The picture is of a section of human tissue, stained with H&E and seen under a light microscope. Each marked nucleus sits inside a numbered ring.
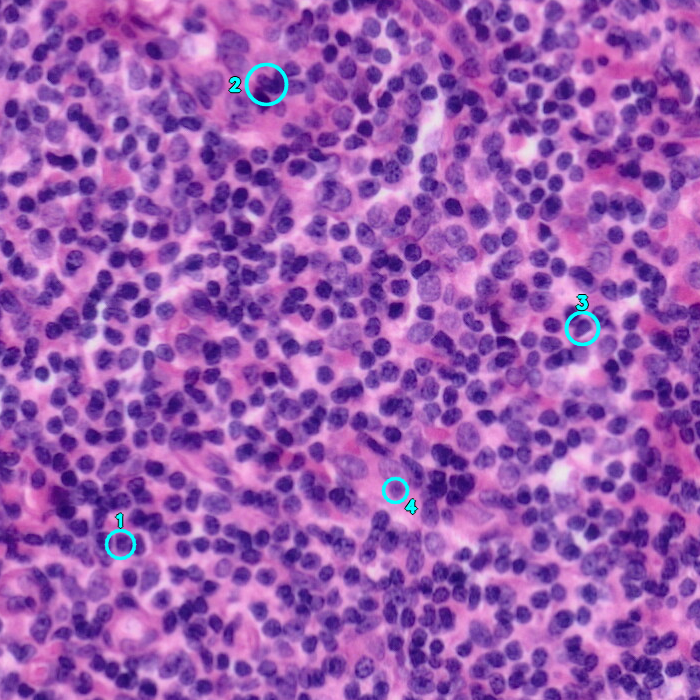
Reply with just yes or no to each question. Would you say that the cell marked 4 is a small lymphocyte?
no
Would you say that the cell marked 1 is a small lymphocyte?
yes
